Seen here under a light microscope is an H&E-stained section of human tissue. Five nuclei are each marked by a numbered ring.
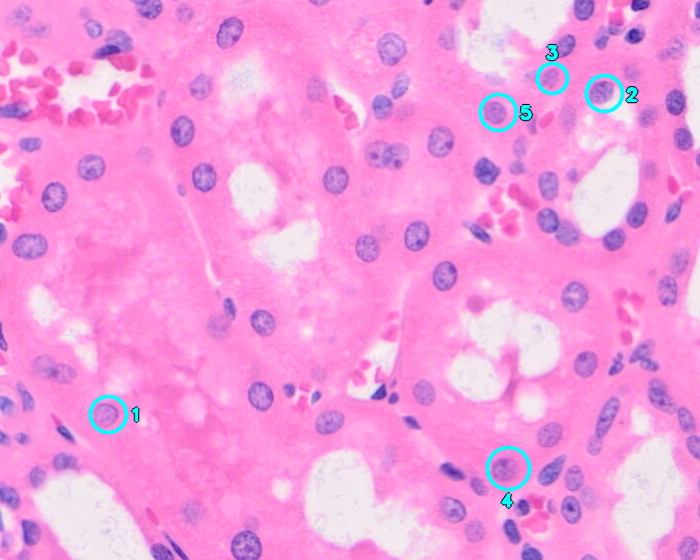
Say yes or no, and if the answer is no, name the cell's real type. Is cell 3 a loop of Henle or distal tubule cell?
Yes.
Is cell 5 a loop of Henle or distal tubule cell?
Yes.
